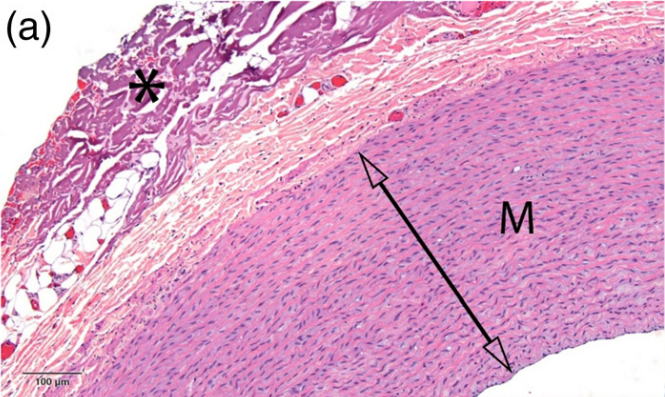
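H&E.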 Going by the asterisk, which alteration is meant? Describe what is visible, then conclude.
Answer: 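The asterisk lies in tissue outside the vessel wall. The tissue there is darker purple and smudged, unlike the pale pink fibres nearer the wall.
Hence: collagen denaturation.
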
